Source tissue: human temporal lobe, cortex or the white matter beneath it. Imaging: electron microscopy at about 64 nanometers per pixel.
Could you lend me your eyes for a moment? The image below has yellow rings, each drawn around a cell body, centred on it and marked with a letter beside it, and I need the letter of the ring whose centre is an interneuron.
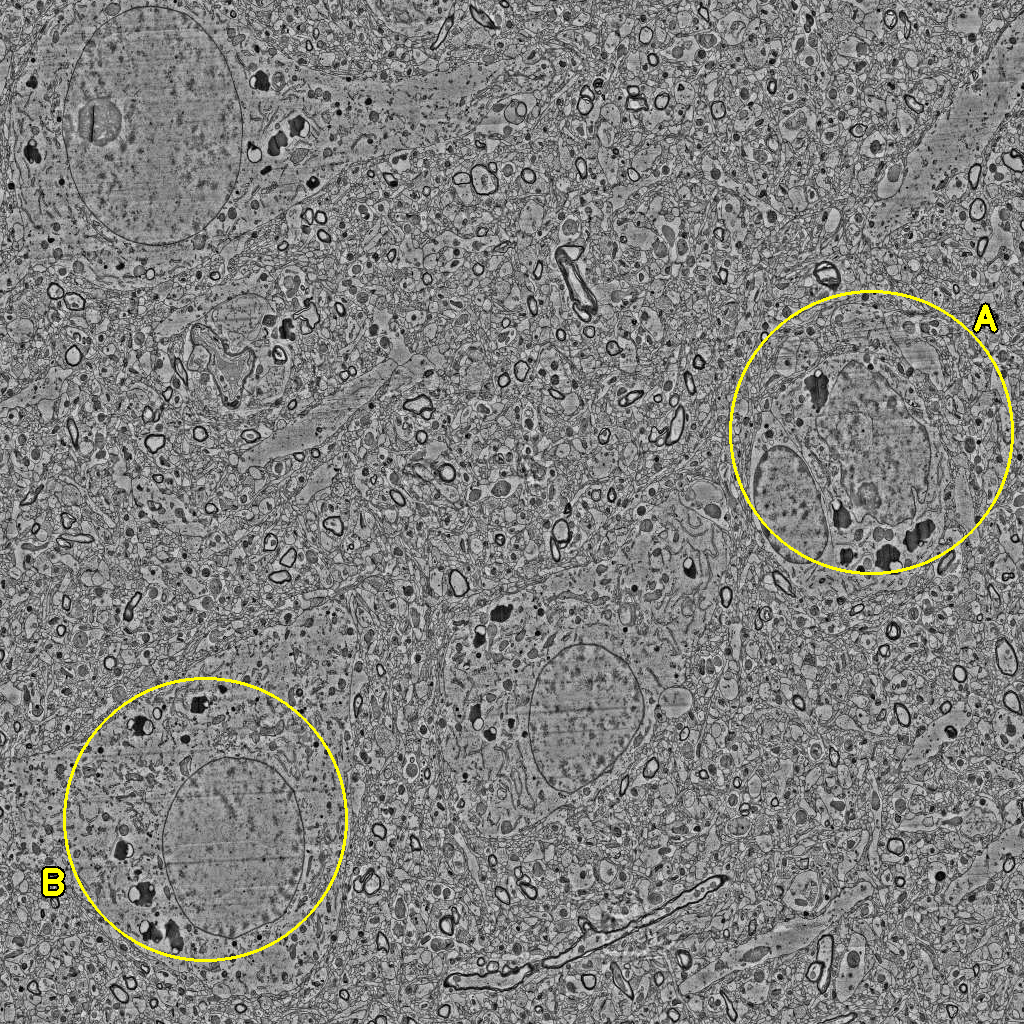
A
